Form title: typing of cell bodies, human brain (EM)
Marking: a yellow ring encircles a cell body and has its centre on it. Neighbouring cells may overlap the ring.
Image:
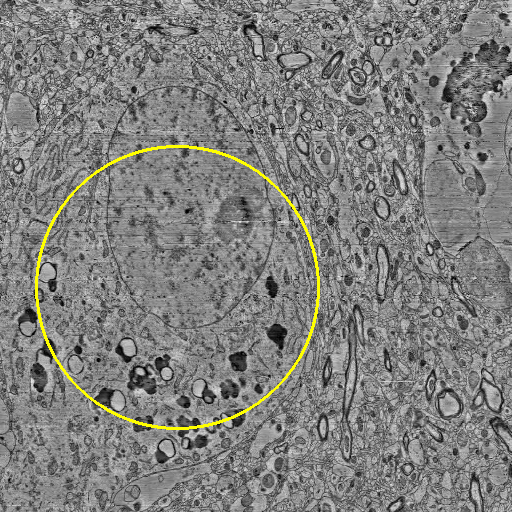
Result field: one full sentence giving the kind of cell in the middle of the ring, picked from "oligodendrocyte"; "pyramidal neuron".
In the picture, the ring is centred on a pyramidal neuron, whose cell body it encircles.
